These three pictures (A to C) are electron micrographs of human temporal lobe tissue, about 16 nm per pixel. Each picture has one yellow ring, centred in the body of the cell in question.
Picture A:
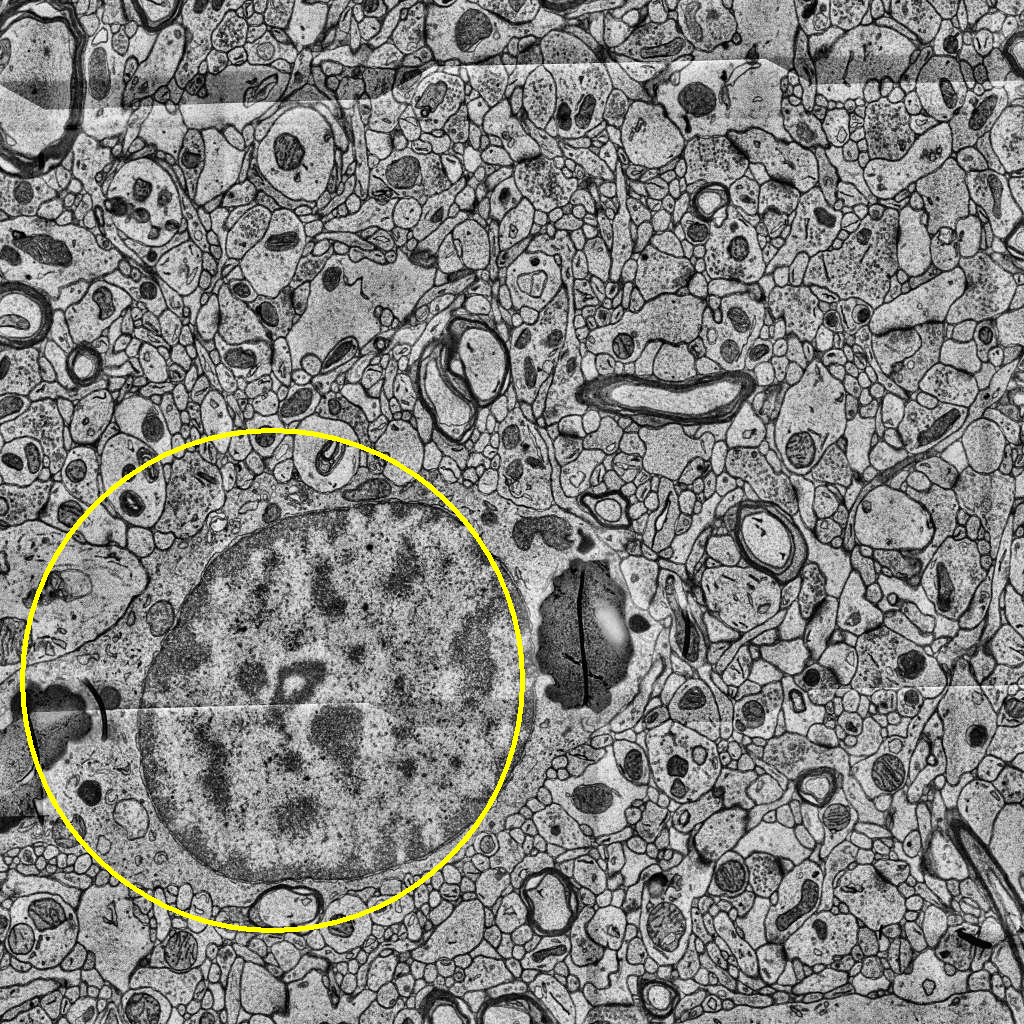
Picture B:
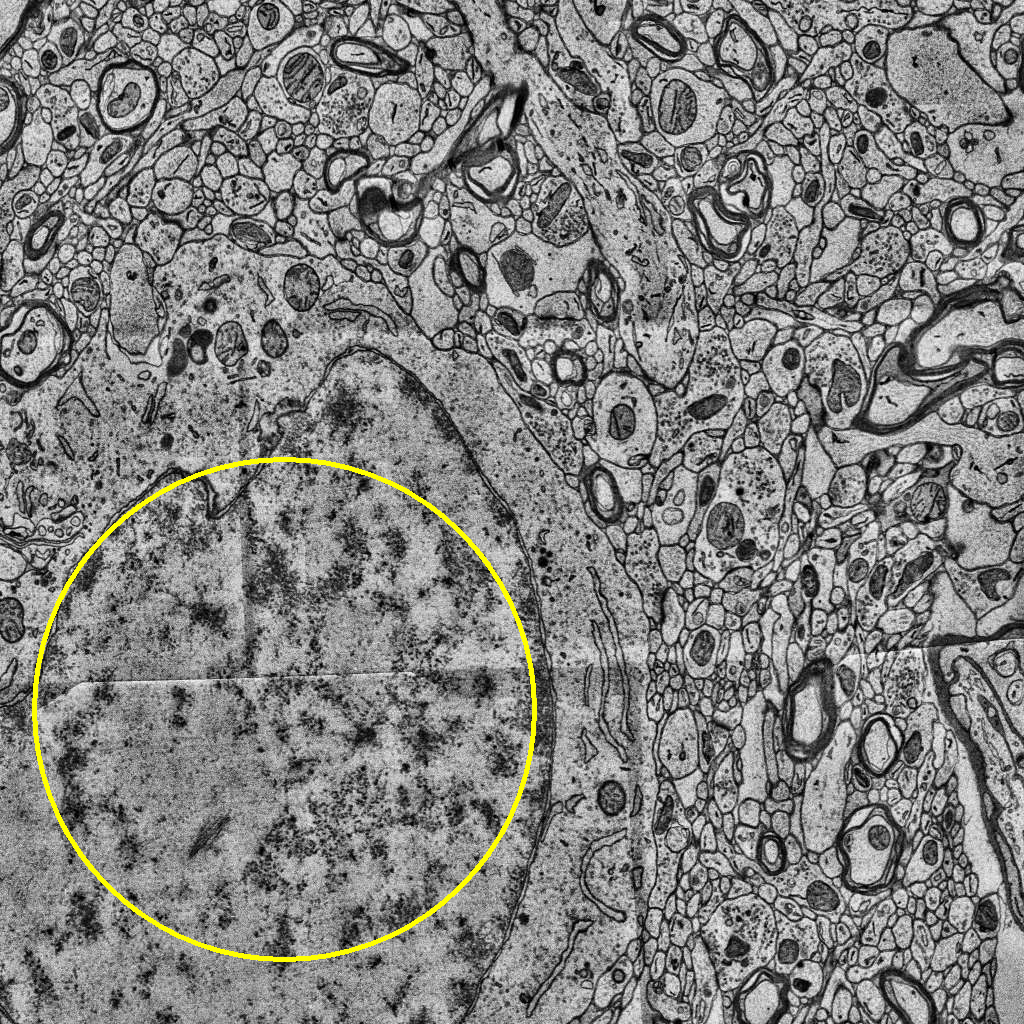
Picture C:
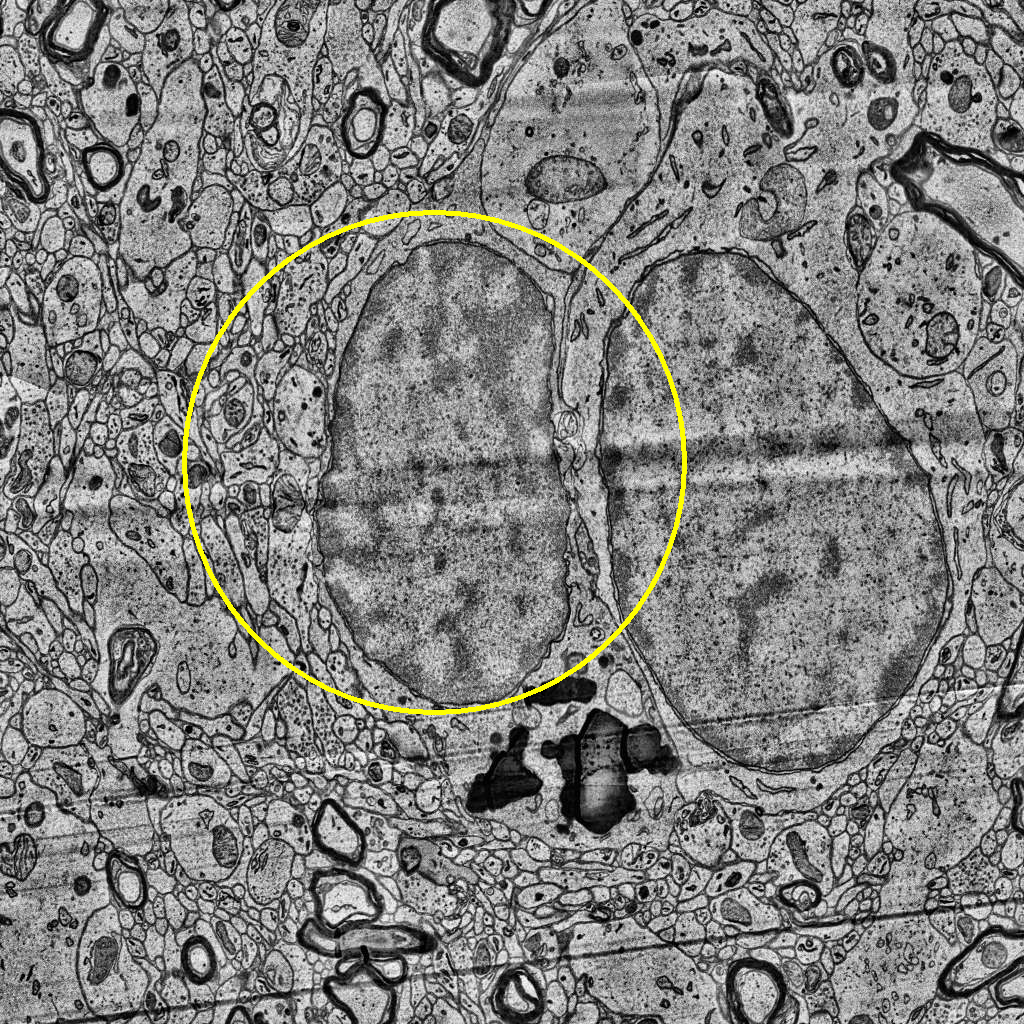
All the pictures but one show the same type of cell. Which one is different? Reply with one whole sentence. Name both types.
Unlike the rest, which show oligodendrocytes, picture B shows an interneuron.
